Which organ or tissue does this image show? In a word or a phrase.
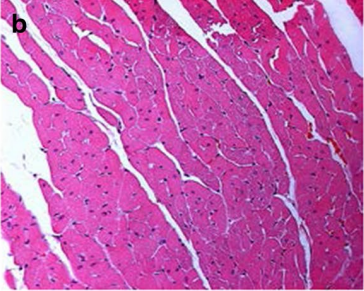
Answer: cardiac tissue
